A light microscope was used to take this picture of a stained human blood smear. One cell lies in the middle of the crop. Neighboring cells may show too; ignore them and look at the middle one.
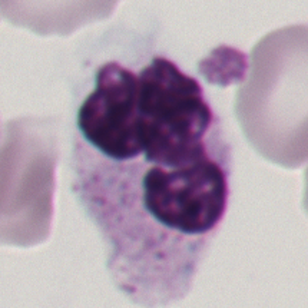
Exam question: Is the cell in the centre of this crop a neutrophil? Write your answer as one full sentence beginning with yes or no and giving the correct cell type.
Yes, shown in the middle of the crop is a neutrophil.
